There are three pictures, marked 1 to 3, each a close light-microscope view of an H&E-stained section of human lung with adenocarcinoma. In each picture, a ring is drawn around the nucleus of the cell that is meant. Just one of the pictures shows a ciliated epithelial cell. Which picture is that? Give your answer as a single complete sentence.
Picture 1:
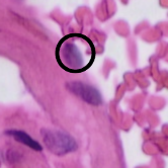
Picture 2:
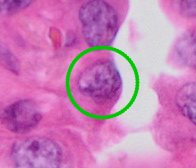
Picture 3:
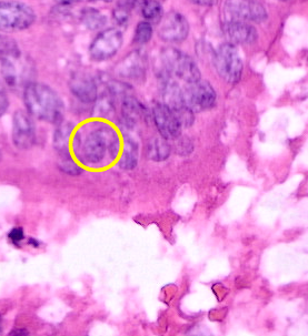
The cell in picture 3 is the ciliated epithelial cell.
